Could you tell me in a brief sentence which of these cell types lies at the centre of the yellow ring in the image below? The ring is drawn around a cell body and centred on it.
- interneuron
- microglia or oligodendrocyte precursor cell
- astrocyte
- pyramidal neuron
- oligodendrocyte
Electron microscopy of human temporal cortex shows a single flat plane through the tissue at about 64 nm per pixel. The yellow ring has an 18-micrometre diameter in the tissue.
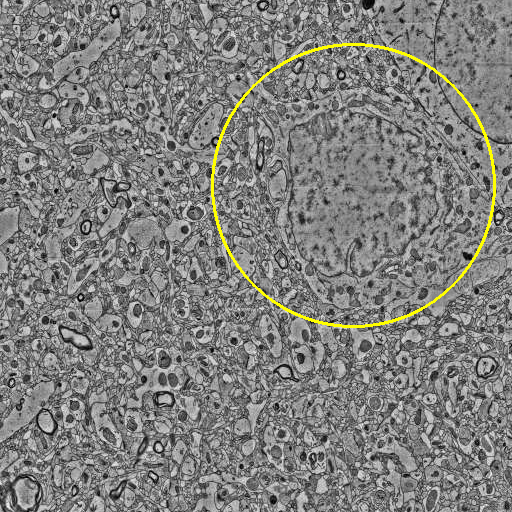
The cell centred in the ring is an interneuron.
